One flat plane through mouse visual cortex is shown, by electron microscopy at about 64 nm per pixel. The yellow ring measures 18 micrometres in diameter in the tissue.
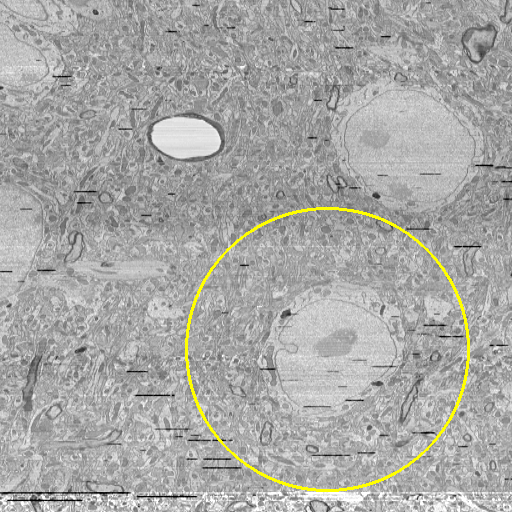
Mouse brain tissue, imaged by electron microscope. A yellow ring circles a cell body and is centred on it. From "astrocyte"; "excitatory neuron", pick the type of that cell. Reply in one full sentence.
The cell body at the centre of the yellow ring belongs to an excitatory neuron.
